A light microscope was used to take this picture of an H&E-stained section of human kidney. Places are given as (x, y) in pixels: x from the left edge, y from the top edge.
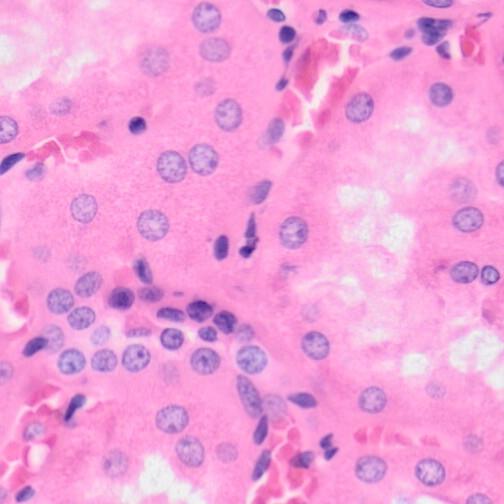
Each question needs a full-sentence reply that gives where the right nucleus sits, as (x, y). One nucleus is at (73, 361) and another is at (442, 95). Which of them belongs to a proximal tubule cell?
That would be the nucleus at (442, 95); it belongs to a proximal tubule cell.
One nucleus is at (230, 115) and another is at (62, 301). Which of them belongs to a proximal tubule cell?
The nucleus at (230, 115) belongs to a proximal tubule cell, which distinguishes it from the other nucleus.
